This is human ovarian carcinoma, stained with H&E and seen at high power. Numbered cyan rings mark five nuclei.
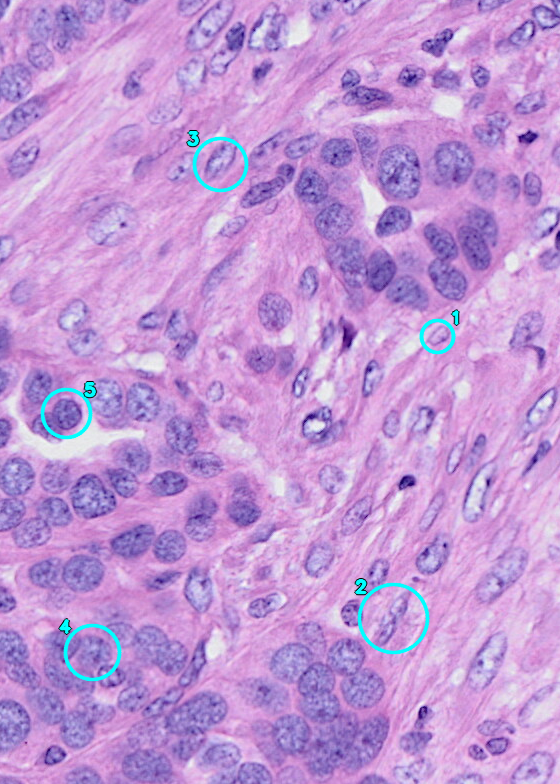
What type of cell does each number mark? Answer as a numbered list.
1. fibroblast
2. fibroblast
3. fibroblast
4. carcinoma cell
5. carcinoma cell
